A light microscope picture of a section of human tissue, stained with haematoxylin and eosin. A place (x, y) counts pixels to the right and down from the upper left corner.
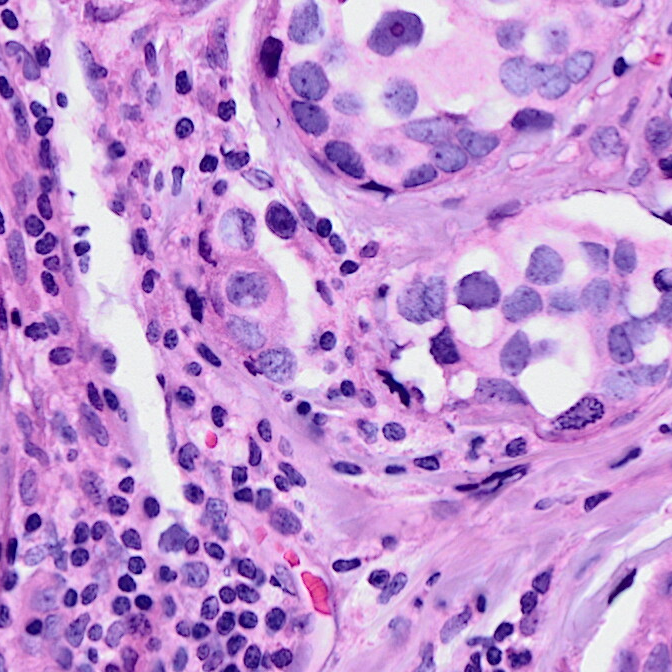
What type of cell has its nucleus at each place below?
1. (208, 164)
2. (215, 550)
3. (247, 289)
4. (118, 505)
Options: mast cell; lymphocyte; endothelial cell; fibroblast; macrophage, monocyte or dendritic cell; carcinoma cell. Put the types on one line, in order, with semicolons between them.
lymphocyte; lymphocyte; carcinoma cell; lymphocyte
